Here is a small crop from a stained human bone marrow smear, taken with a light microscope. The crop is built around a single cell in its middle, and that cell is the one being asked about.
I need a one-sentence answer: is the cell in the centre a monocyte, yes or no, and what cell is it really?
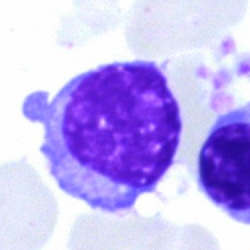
No, the cell at the centre is categorised not as a monocyte but as a lymphocyte.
